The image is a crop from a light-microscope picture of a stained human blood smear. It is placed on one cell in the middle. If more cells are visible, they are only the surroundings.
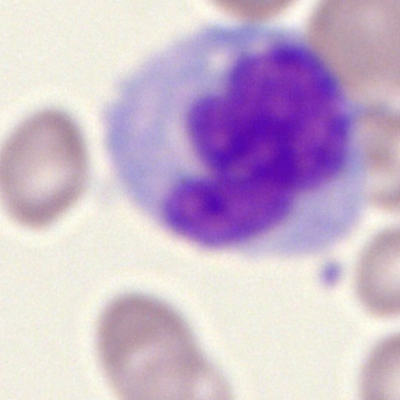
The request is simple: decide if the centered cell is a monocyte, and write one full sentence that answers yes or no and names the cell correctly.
Yes, the cell placed centrally within the crop is a monocyte.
